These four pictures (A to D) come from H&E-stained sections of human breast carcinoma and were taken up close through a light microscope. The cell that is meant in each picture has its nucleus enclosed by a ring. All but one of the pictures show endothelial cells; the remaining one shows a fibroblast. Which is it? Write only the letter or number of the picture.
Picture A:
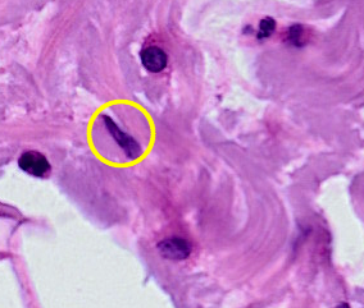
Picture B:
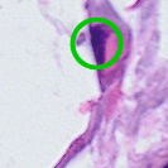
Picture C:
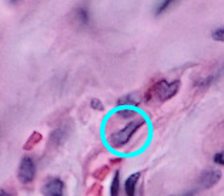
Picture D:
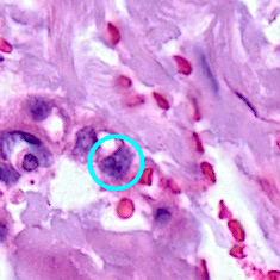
A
